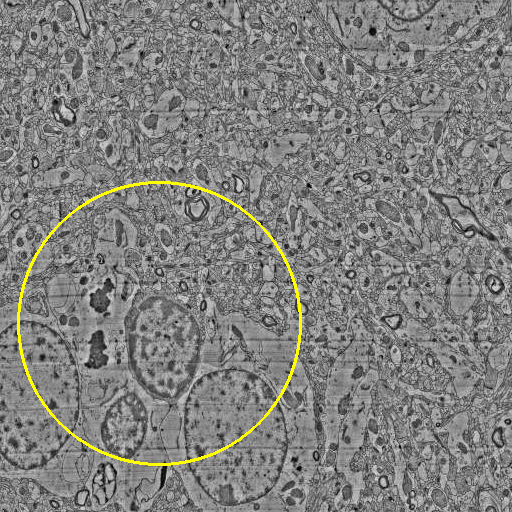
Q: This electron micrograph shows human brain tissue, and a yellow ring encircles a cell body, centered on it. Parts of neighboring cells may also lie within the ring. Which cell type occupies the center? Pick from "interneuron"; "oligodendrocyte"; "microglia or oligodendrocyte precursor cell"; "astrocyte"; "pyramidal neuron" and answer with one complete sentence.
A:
What sits at the ring's center in this micrograph is an oligodendrocyte, among those choices.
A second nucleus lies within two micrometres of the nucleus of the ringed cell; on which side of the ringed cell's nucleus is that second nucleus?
The other nucleus is located to the lower right of it.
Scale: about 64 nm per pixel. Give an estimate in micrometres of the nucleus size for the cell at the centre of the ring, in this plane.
Approximately 6 micrometres long and 4 micrometres wide, in this plane.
